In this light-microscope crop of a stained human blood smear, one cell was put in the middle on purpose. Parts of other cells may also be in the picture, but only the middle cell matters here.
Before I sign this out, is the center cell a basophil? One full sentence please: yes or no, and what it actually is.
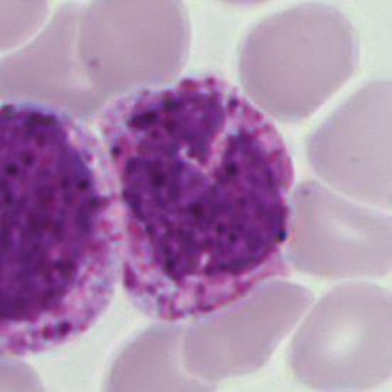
Yes, the cell of interest in the centre is a basophil.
